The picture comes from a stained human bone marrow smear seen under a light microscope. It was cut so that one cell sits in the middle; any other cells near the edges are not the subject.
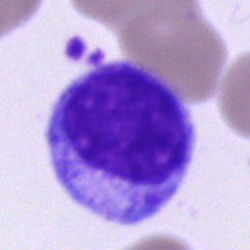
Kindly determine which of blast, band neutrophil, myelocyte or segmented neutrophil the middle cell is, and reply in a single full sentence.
The cell centered in this field of view is a myelocyte.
